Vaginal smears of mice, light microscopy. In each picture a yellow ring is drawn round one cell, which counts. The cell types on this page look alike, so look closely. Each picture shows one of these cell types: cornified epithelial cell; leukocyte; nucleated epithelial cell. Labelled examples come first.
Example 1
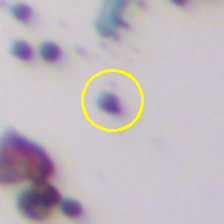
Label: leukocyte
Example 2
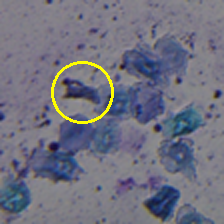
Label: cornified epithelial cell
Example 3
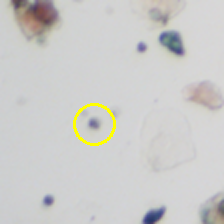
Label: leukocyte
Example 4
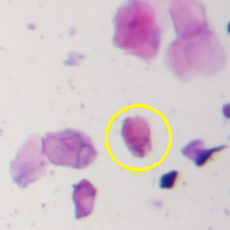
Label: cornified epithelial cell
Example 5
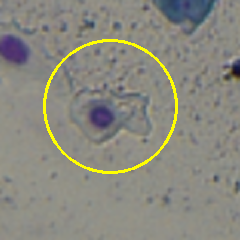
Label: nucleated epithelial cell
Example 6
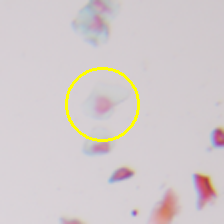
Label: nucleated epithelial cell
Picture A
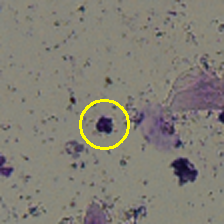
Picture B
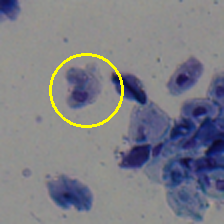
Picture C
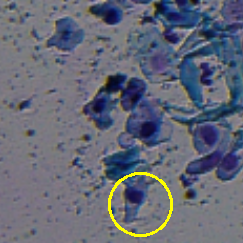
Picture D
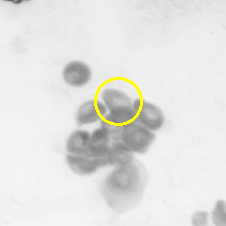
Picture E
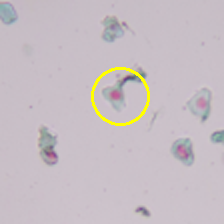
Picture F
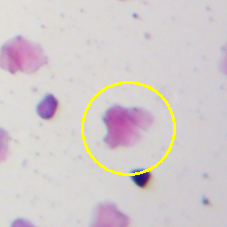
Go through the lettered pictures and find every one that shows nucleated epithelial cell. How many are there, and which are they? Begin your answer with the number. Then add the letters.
Count: 4 (B, C, D, E)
